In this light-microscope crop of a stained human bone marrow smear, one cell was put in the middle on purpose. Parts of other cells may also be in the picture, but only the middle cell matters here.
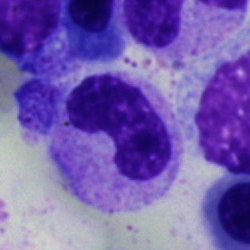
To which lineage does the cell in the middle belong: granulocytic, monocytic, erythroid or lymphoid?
granulocytic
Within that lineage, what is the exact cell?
band neutrophil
